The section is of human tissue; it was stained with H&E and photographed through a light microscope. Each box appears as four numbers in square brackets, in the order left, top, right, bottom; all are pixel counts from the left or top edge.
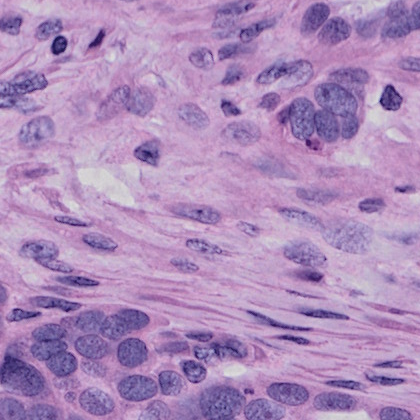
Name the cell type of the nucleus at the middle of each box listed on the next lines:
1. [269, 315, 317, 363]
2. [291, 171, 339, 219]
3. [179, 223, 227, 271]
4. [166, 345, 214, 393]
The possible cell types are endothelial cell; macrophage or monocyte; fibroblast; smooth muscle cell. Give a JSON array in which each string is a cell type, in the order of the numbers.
["fibroblast", "fibroblast", "fibroblast", "macrophage or monocyte"]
